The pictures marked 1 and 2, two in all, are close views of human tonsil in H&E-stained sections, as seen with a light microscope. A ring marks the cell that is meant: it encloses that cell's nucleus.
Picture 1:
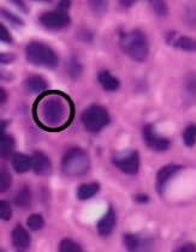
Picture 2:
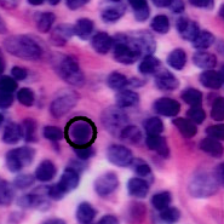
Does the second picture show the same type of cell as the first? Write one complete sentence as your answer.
No, the types are not the same, since picture 1 shows a squamous epithelial cell and picture 2 an endothelial cell.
